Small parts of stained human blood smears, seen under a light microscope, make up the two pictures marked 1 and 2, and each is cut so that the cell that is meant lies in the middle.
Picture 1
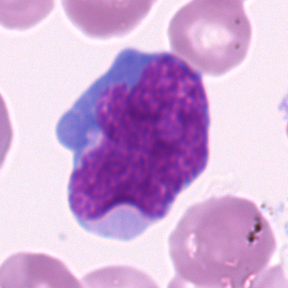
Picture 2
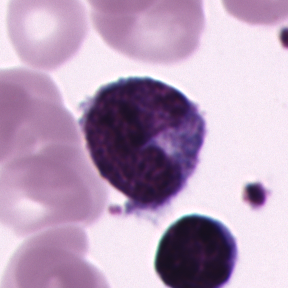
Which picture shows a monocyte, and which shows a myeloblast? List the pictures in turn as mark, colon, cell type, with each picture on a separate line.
1: myeloblast
2: monocyte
